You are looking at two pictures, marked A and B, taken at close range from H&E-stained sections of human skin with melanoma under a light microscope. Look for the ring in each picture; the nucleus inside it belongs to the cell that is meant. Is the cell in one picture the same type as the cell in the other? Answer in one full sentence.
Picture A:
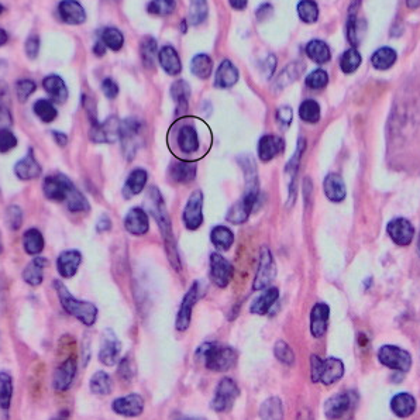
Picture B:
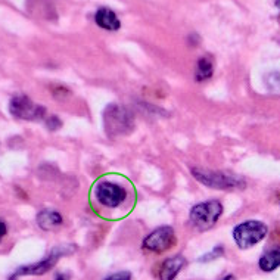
Yes, both cells are plasma cells.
